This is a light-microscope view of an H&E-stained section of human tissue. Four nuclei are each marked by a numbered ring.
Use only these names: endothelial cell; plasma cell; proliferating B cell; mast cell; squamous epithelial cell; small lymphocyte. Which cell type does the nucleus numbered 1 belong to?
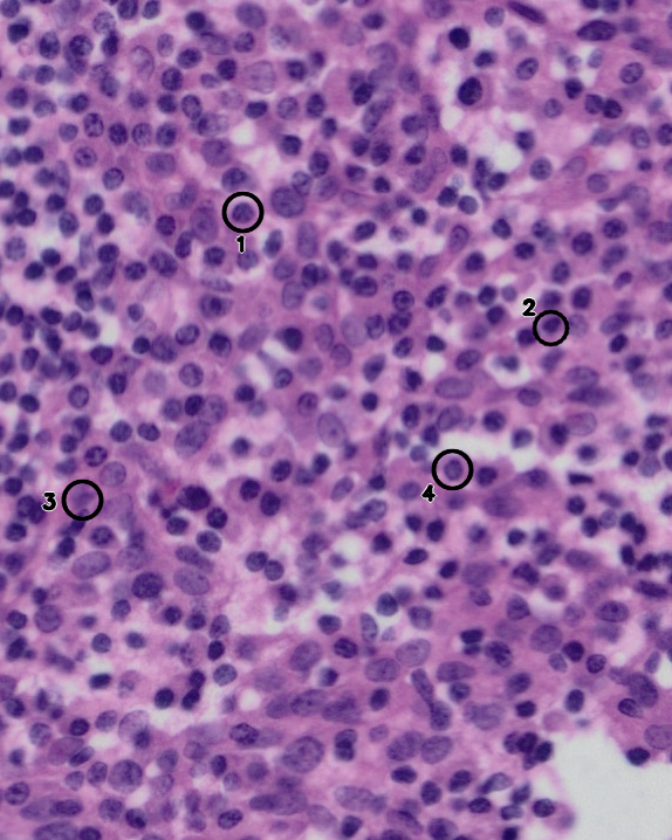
plasma cell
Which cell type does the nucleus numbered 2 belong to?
plasma cell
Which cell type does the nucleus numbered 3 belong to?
endothelial cell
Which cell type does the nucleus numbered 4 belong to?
plasma cell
